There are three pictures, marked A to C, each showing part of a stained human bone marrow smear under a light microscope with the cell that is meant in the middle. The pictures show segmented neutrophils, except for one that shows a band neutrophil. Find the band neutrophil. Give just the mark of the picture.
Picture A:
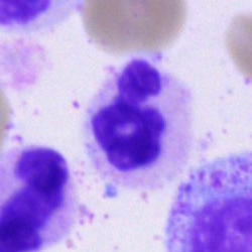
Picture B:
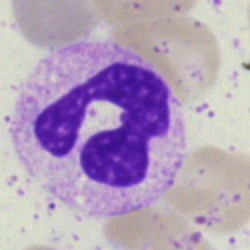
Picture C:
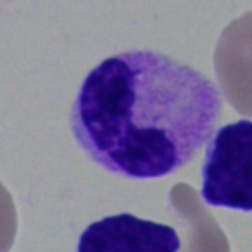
C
